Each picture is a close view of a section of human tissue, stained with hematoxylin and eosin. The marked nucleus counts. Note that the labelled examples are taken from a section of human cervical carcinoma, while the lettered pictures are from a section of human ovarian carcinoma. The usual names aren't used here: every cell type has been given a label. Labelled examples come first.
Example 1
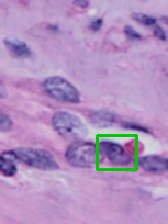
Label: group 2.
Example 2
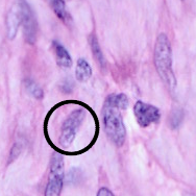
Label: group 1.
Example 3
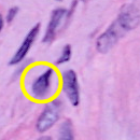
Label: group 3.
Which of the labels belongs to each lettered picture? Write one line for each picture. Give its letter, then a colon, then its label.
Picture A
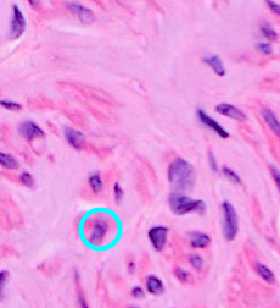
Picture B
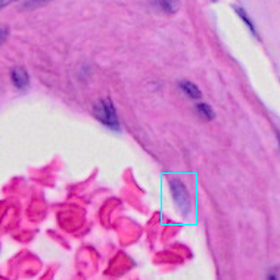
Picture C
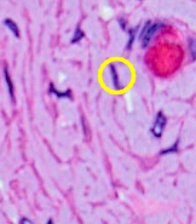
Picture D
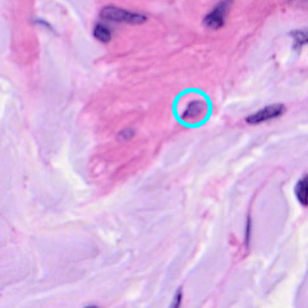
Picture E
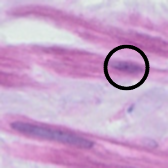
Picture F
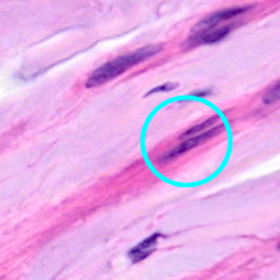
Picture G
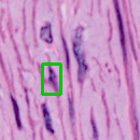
A: group 1.
B: group 2.
C: group 3.
D: group 1.
E: group 1.
F: group 1.
G: group 3.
